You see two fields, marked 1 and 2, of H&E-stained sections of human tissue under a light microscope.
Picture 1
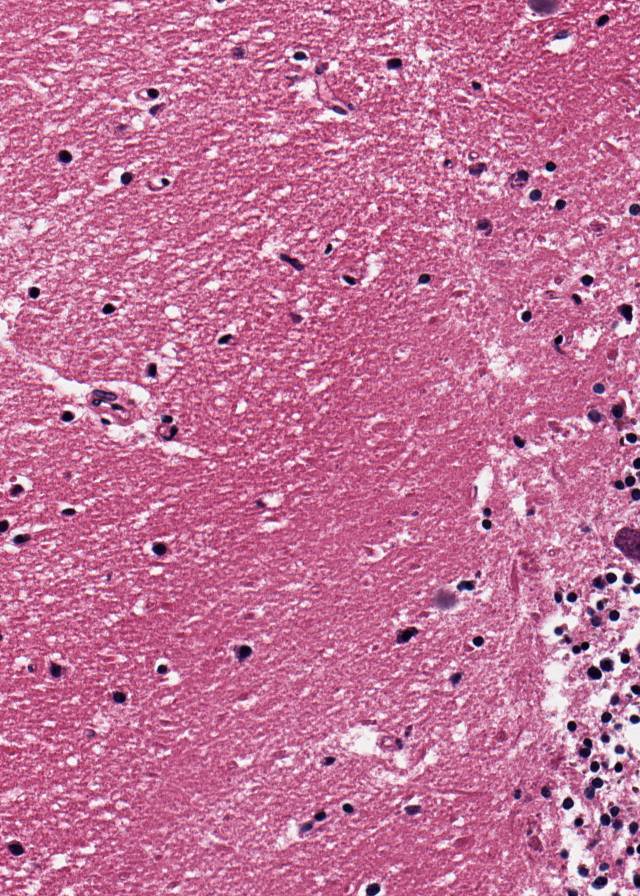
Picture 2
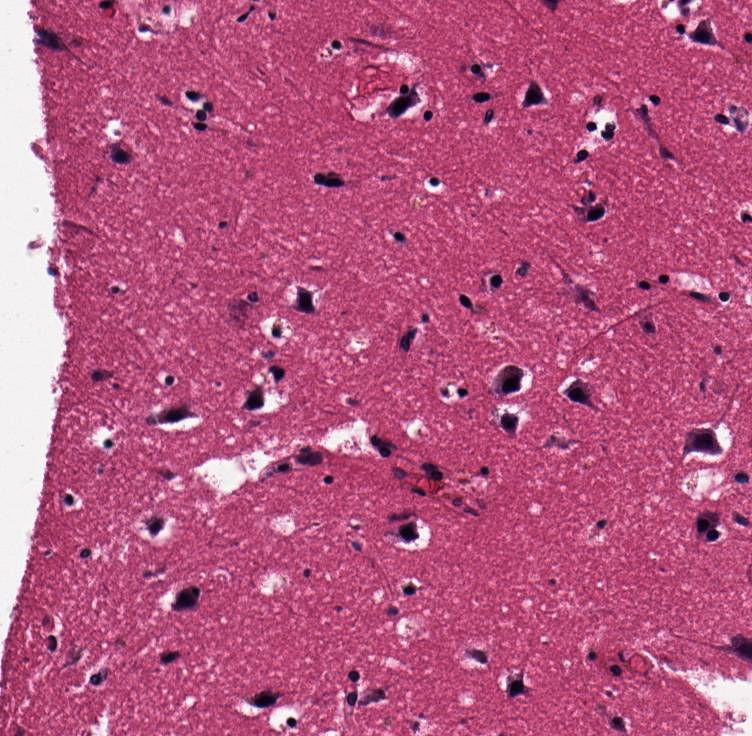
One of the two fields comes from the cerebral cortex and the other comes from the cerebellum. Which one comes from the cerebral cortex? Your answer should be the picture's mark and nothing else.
2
